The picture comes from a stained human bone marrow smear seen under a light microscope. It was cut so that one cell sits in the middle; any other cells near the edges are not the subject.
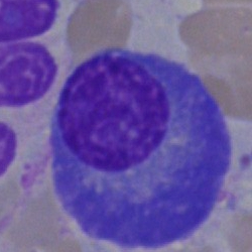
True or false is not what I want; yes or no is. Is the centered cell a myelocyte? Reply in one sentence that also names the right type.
No, the cell sitting in the centre of the crop is a plasma cell, not a myelocyte.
